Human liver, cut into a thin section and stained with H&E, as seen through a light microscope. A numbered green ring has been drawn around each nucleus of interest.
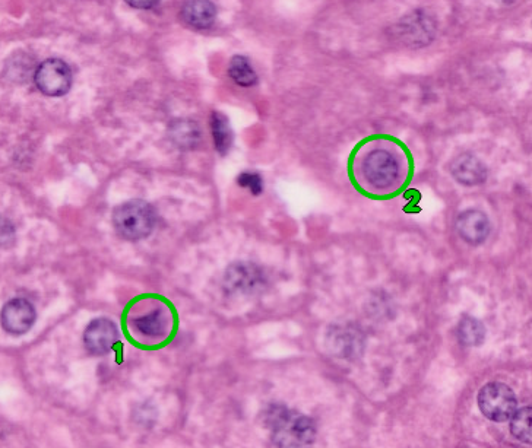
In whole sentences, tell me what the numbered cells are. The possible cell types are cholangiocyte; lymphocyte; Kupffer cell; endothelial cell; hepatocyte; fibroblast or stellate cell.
Cell 1 is a fibroblast or stellate cell. Cell 2 is a hepatocyte.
